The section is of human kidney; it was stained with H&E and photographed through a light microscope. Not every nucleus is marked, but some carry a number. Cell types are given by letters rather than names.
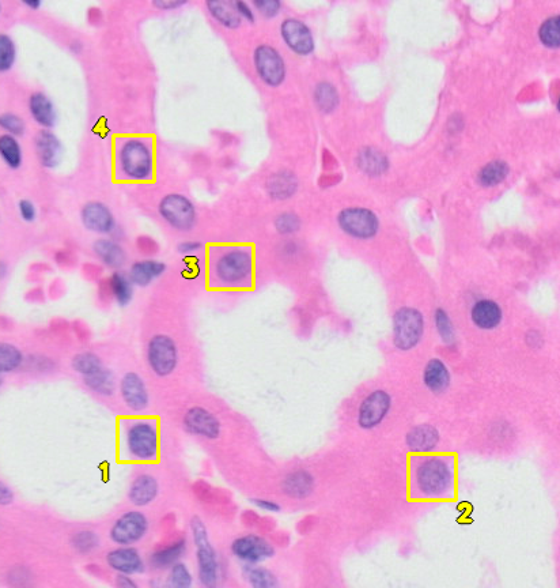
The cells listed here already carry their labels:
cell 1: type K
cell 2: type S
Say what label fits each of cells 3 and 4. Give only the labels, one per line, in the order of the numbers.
type S
type S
